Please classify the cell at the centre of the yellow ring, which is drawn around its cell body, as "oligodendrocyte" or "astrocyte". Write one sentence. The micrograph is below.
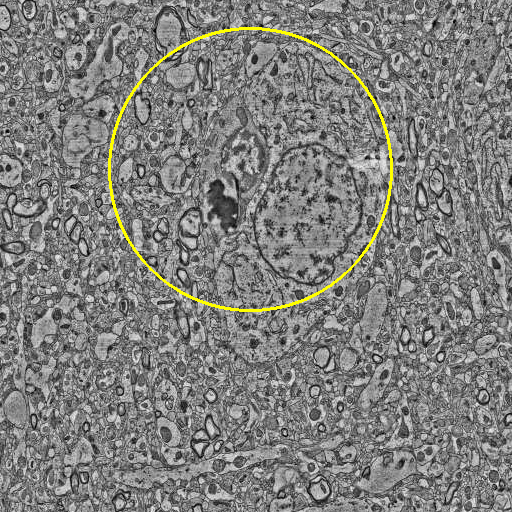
The cell at the ring's centre is classified as an oligodendrocyte.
